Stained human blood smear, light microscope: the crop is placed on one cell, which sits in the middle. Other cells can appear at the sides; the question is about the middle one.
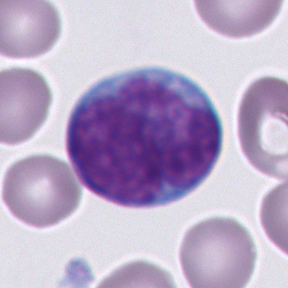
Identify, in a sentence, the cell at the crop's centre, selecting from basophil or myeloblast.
Within this crop, a myeloblast occupies the central position.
